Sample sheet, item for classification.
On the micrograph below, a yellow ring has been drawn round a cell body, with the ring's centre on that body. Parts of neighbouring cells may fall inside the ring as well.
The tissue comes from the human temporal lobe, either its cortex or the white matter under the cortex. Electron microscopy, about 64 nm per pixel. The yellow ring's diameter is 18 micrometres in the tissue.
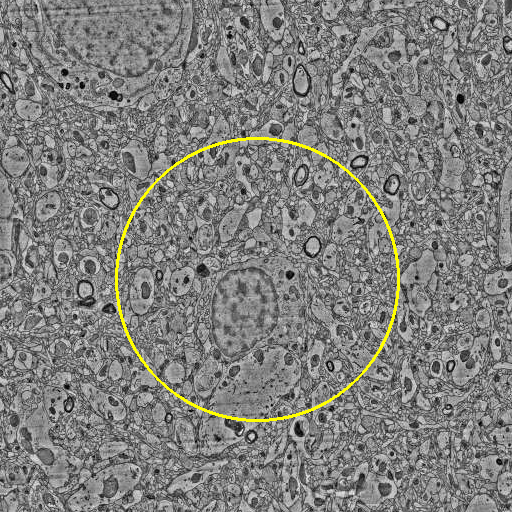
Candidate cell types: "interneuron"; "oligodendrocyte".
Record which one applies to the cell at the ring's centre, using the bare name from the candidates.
oligodendrocyte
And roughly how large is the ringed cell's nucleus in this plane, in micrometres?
In this plane, approximately 6 by 4 micrometers.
